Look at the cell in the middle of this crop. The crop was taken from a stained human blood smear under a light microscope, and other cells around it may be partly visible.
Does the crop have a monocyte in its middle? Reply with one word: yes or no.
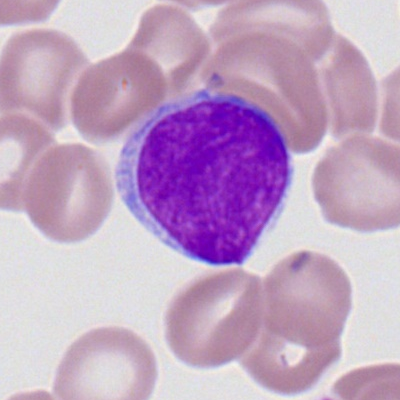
no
